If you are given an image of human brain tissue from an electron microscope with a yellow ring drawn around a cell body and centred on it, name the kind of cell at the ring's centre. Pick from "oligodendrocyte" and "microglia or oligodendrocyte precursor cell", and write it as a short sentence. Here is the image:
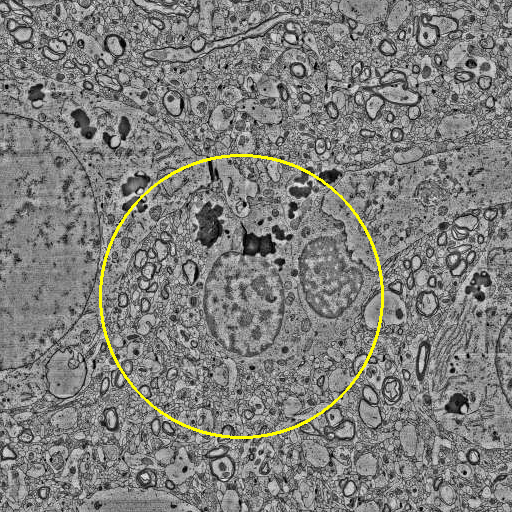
The cell at the ring's centre is an oligodendrocyte.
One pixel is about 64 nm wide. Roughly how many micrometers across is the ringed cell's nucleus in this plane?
In this plane, the nucleus is roughly 7 by 5 micrometres.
